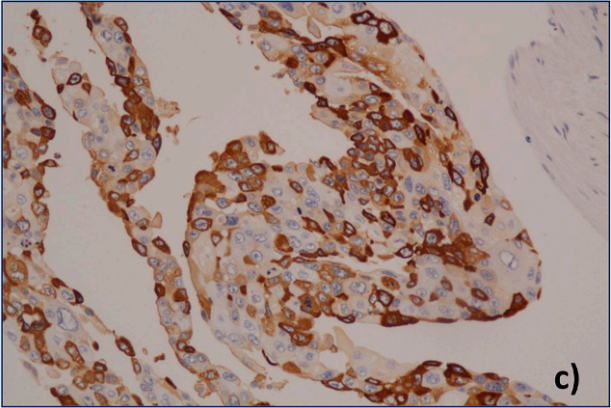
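Tumor cells in papillary cords and sheets, many with brown staining of the cytoplasm and cell membranes and blue-counterstained nuclei. Staining is patchy, strong in some cells and weak or absent in neighbouring cells. The spindle-cell stroma at the upper right corner is unstained.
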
